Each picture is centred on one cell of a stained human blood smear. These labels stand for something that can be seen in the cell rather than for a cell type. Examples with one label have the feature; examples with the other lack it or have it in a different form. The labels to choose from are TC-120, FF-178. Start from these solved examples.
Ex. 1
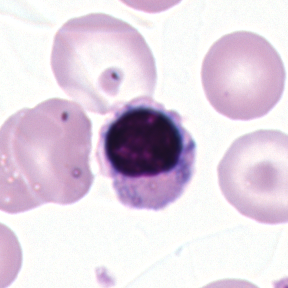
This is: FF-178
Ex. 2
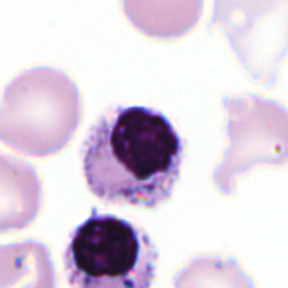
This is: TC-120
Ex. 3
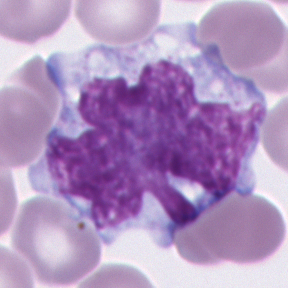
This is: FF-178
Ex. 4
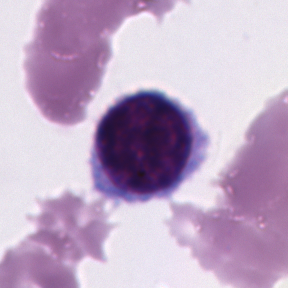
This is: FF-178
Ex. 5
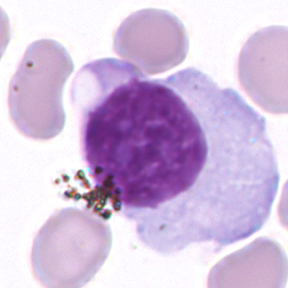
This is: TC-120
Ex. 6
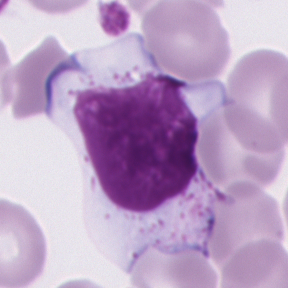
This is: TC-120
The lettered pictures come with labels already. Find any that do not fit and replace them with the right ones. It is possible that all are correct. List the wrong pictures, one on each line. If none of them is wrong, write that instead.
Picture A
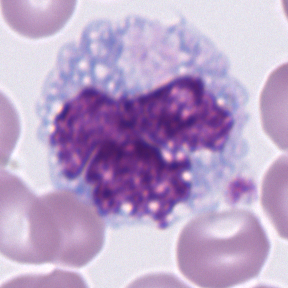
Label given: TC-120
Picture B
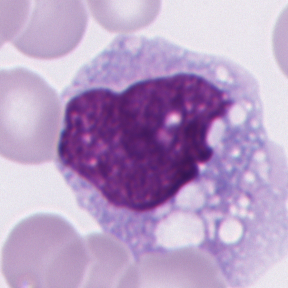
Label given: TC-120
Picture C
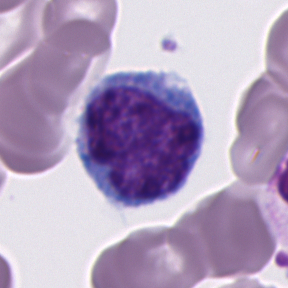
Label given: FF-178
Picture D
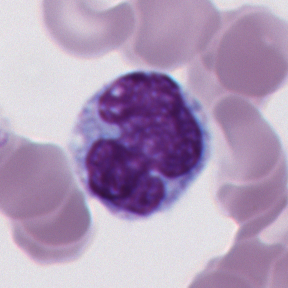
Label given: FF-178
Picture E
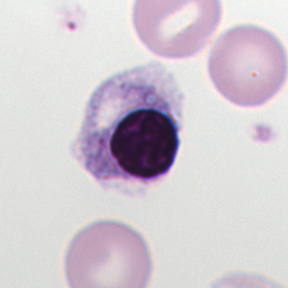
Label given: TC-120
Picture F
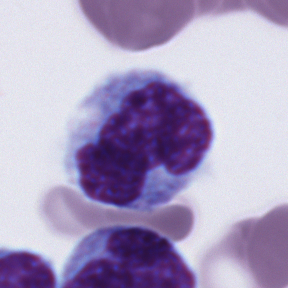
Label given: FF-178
All labels are correct.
